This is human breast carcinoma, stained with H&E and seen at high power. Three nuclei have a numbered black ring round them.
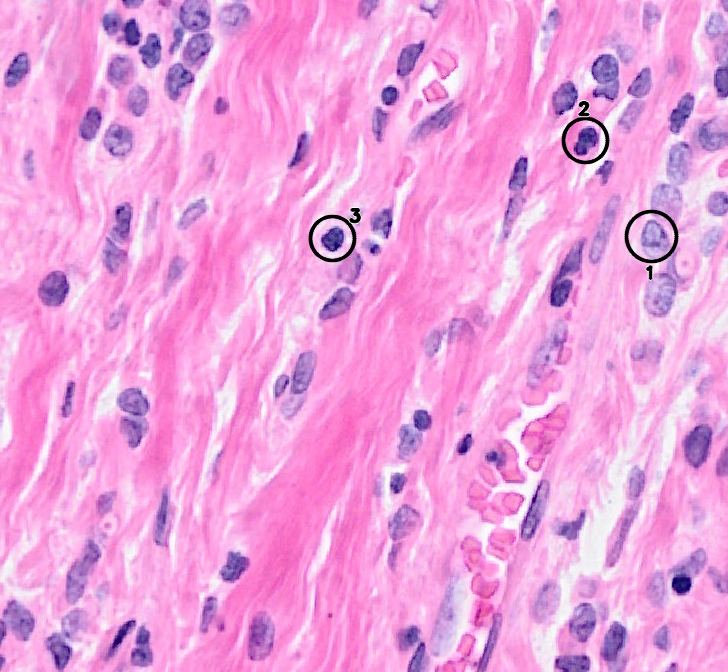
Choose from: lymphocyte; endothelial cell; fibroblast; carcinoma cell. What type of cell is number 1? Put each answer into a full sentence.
Marked with the number 1, this cell is a carcinoma cell.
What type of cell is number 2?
In this section, the cell numbered 2 is a lymphocyte.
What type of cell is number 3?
The cell marked with the number 3 is a lymphocyte.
